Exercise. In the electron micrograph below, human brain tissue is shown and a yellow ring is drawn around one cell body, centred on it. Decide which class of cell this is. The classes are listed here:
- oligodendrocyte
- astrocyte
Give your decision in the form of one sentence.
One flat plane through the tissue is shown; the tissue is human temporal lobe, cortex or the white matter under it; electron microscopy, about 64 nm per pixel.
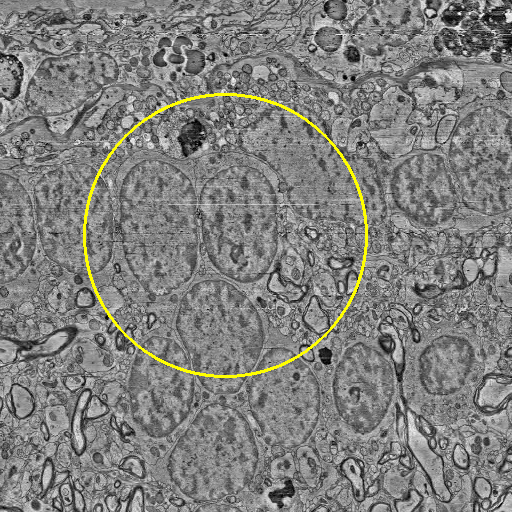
The cell body marked by the ring belongs to an oligodendrocyte.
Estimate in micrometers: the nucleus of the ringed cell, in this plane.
The ringed cell's nucleus is about 8 micrometres long and 5 micrometres wide in this plane.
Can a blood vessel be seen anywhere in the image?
Yes, a blood vessel is present in this picture.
